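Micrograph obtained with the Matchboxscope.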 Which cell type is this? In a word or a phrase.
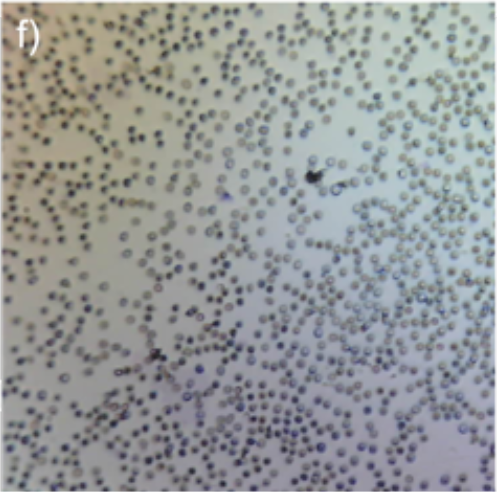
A: Red blood cells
